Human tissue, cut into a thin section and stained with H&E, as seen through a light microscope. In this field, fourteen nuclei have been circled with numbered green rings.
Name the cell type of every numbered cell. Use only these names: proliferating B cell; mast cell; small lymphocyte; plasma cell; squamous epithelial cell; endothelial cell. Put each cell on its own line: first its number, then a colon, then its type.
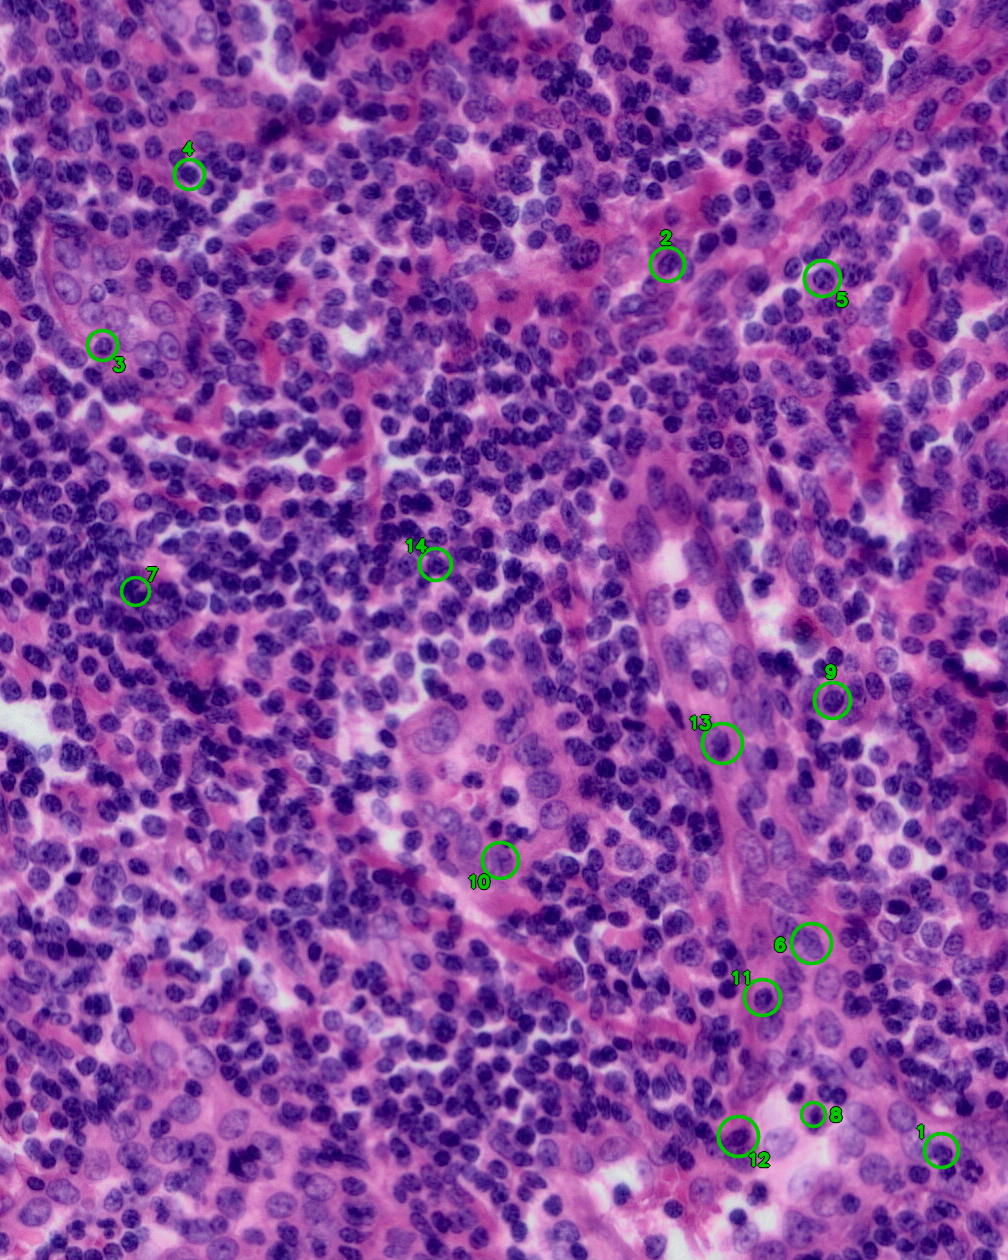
1: endothelial cell
2: plasma cell
3: endothelial cell
4: small lymphocyte
5: plasma cell
6: endothelial cell
7: small lymphocyte
8: endothelial cell
9: plasma cell
10: endothelial cell
11: endothelial cell
12: endothelial cell
13: endothelial cell
14: small lymphocyte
